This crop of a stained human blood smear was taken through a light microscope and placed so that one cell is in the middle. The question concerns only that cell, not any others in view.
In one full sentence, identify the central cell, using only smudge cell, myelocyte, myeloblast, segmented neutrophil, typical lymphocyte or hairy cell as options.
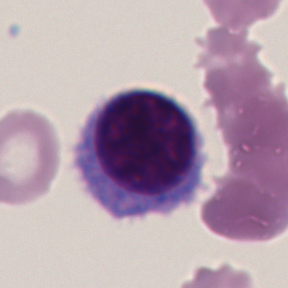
The middle cell in this particular crop is a hairy cell.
